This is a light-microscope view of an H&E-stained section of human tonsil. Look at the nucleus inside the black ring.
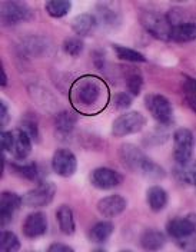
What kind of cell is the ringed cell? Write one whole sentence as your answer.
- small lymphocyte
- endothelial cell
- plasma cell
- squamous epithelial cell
Just put down that the ringed cell is an endothelial cell.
